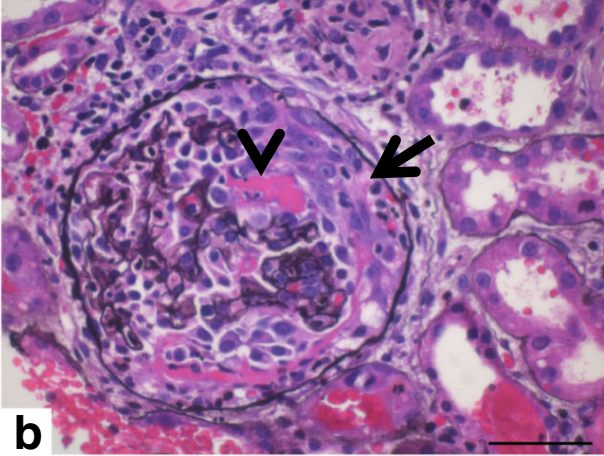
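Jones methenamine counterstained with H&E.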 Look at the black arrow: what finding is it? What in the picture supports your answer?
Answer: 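A layer of several rows of cells lies inside the black-outlined capsule around the glomerular tuft. The arrow points at this cell layer at the edge of the glomerulus. On this evidence: cellular crescent.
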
